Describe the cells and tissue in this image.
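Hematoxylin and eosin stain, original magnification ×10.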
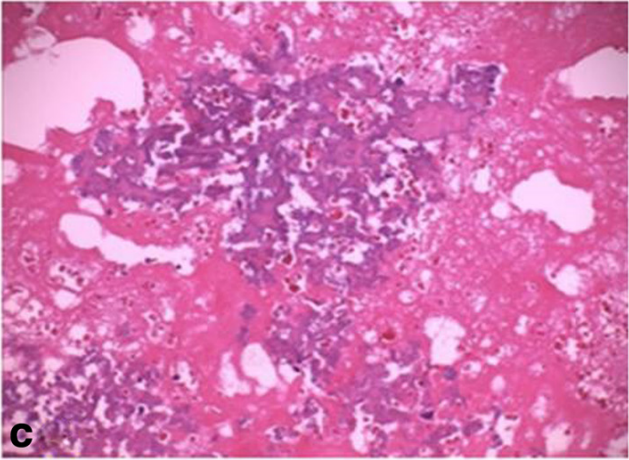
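This section shows a homogeneous, eosinophilic lesion that is largely without cells, with areas of dystrophic calcification. Pale pink amorphous material fills most of the field and contains scattered clear empty spaces of varying size. Irregular clumps of granular purple deposits are spread through the centre and lower part of the field. Small round red bodies are scattered among the purple deposits.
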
